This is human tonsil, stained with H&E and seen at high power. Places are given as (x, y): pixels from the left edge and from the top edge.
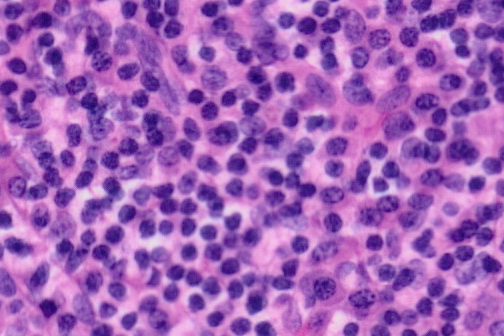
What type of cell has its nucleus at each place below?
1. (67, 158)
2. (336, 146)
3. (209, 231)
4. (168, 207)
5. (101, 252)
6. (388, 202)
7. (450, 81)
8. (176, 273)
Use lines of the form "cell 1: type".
cell 1: small lymphocyte
cell 2: plasma cell
cell 3: small lymphocyte
cell 4: small lymphocyte
cell 5: small lymphocyte
cell 6: plasma cell
cell 7: plasma cell
cell 8: small lymphocyte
